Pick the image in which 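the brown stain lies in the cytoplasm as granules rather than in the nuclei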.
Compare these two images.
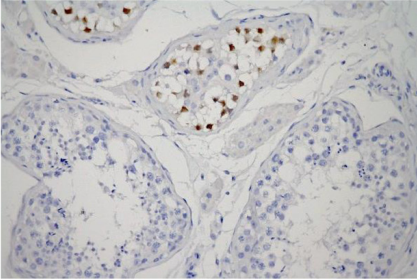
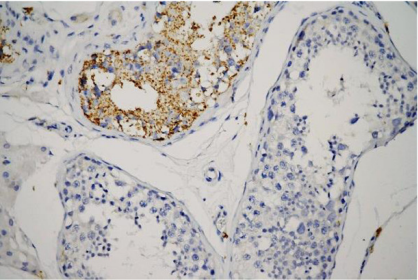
The second image.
